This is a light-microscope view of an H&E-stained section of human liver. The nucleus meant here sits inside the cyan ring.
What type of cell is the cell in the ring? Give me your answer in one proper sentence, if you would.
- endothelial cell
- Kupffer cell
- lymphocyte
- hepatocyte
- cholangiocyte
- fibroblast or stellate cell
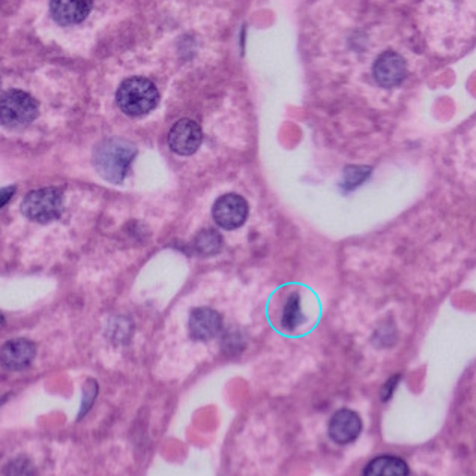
In cellular terms, the cell in the ring is an endothelial cell.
